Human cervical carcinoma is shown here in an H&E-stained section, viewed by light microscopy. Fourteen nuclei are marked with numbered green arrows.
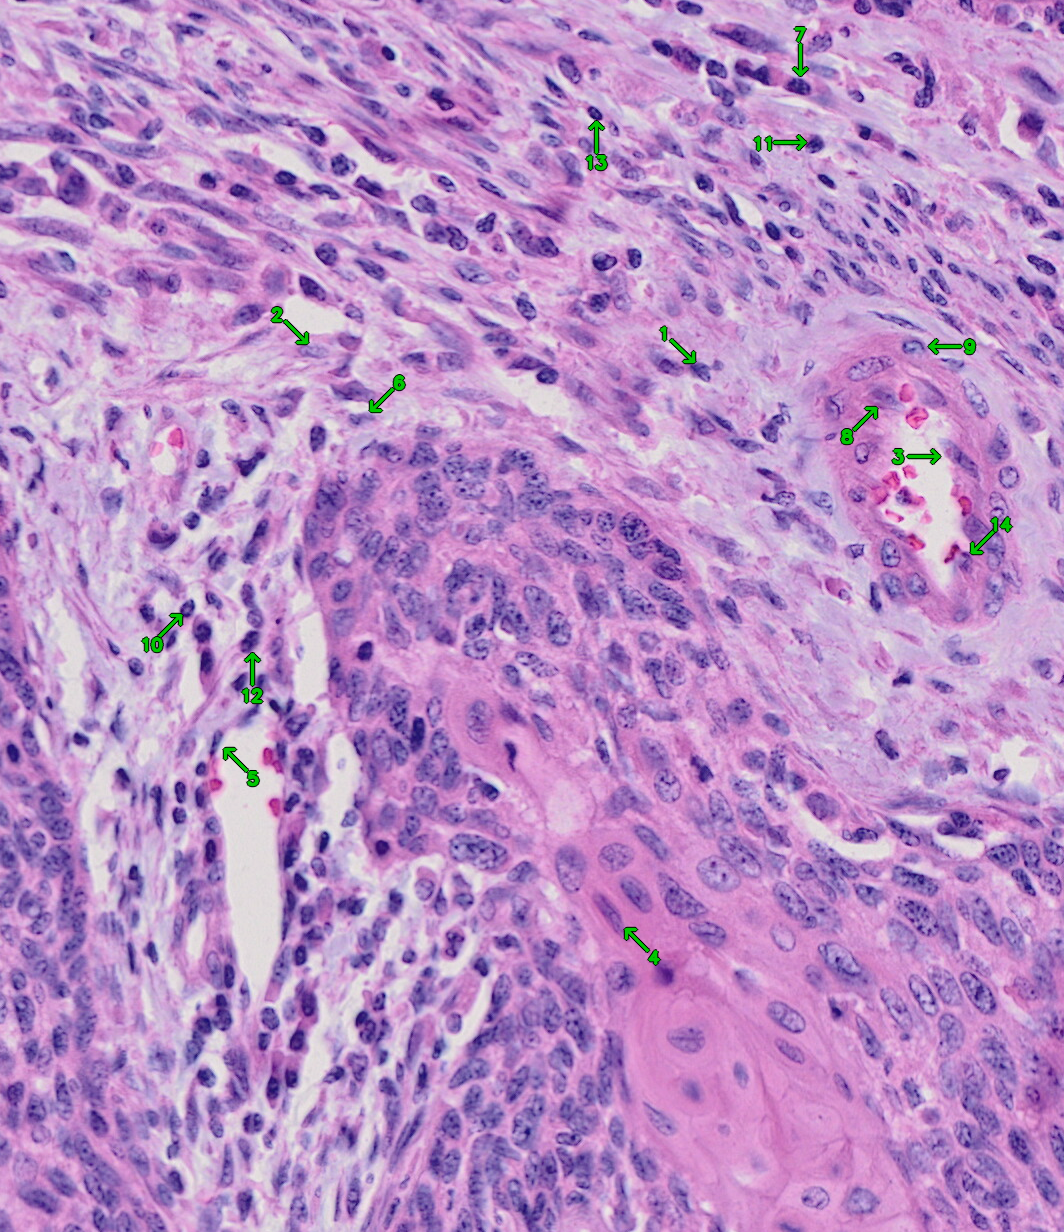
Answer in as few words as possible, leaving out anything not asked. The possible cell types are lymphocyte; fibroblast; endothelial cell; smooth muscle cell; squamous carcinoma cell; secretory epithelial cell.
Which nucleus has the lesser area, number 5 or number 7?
5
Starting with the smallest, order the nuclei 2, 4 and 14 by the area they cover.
14, 2, 4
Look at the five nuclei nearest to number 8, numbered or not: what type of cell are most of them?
smooth muscle cell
